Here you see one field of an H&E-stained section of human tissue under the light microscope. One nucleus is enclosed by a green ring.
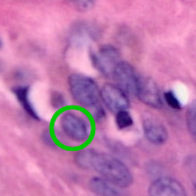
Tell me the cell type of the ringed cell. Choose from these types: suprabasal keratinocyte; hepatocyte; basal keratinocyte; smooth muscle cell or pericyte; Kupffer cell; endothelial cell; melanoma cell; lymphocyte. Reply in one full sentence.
The cell type of the ringed cell is that of a basal keratinocyte.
